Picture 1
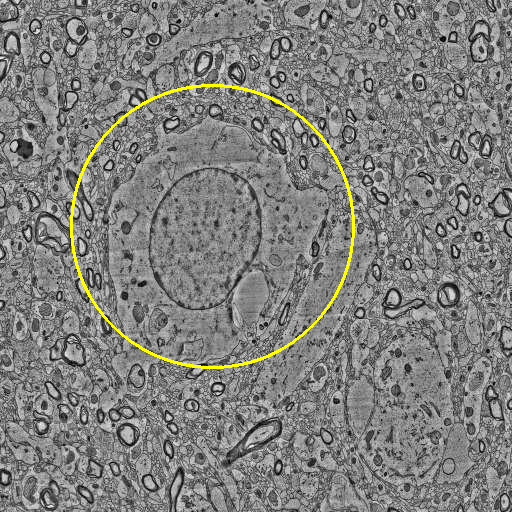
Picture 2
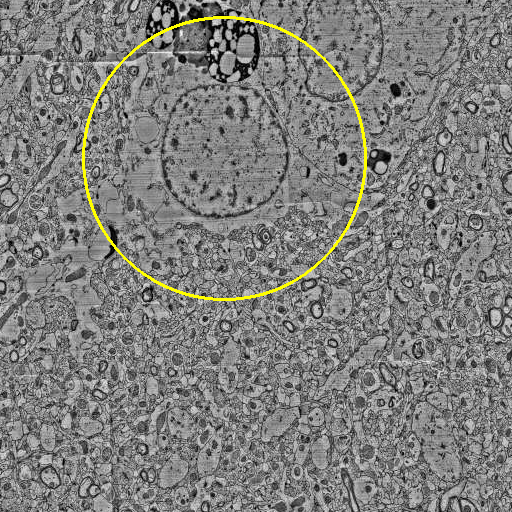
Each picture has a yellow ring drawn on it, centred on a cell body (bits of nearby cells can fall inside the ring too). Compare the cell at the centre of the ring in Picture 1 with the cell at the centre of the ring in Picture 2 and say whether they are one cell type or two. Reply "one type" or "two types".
one type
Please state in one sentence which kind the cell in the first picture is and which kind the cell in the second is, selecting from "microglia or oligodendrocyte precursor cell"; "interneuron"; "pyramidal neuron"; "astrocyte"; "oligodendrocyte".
In the first picture and in the second, the ring is centred on an astrocyte.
